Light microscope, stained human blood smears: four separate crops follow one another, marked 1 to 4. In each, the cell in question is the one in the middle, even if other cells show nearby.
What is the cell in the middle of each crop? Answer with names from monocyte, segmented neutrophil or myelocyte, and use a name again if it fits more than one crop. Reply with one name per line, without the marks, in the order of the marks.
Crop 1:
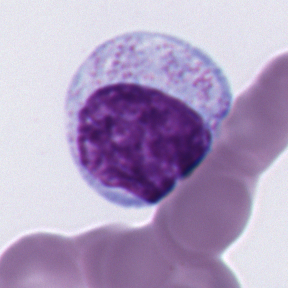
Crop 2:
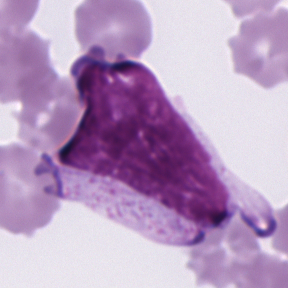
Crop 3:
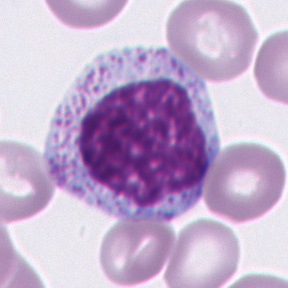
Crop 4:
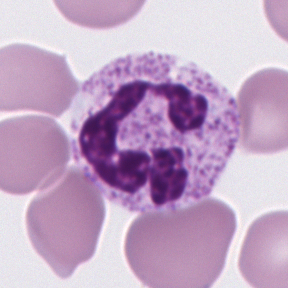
myelocyte
myelocyte
myelocyte
segmented neutrophil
